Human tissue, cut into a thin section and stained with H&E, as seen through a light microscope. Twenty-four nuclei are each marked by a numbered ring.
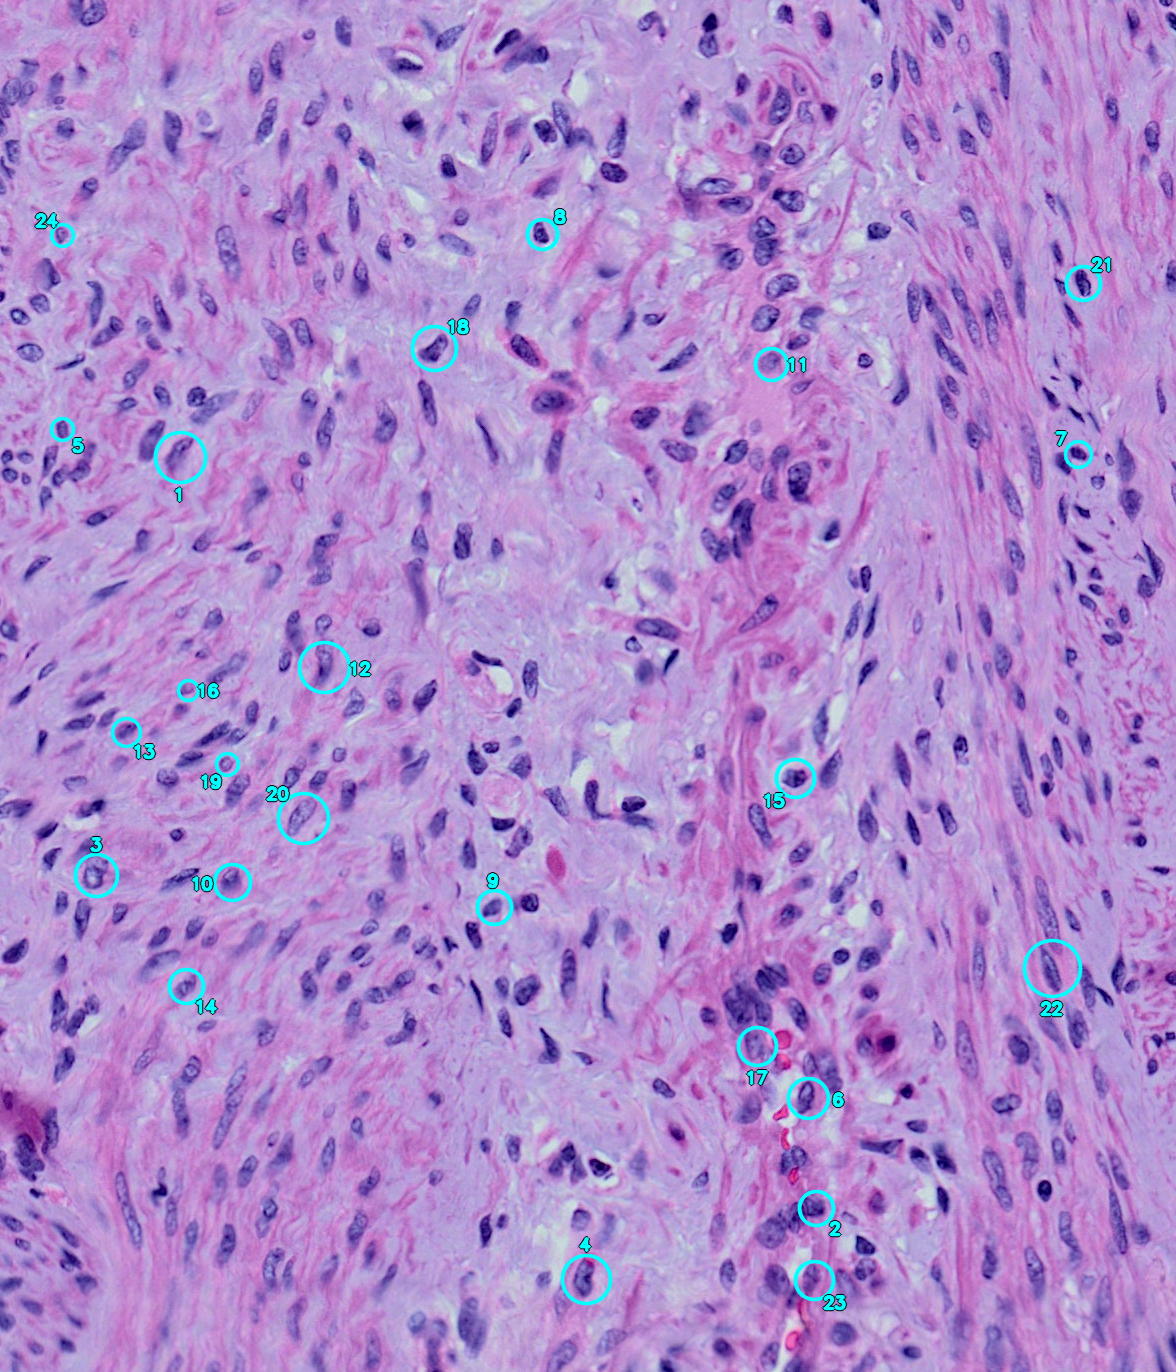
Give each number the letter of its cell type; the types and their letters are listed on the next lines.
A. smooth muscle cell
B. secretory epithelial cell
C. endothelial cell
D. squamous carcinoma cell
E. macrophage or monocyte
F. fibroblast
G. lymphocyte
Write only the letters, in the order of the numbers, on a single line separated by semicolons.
A; C; A; C; A; C; F; G; F; A; C; A; A; A; G; A; C; F; A; A; G; A; C; A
